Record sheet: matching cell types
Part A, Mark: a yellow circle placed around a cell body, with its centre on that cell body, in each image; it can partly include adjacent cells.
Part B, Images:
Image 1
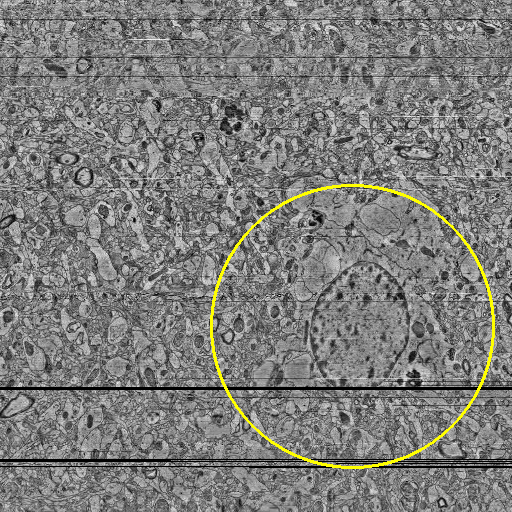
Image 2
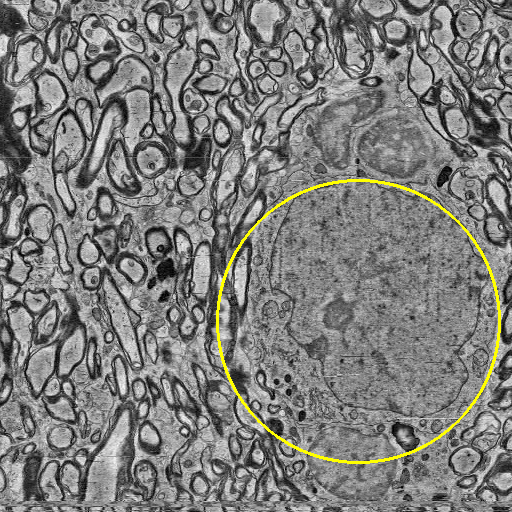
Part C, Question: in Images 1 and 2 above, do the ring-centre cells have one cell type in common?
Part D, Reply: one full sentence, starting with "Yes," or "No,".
No, the ring-centre cells of Image 1 and Image 2 are each of a separate cell type.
